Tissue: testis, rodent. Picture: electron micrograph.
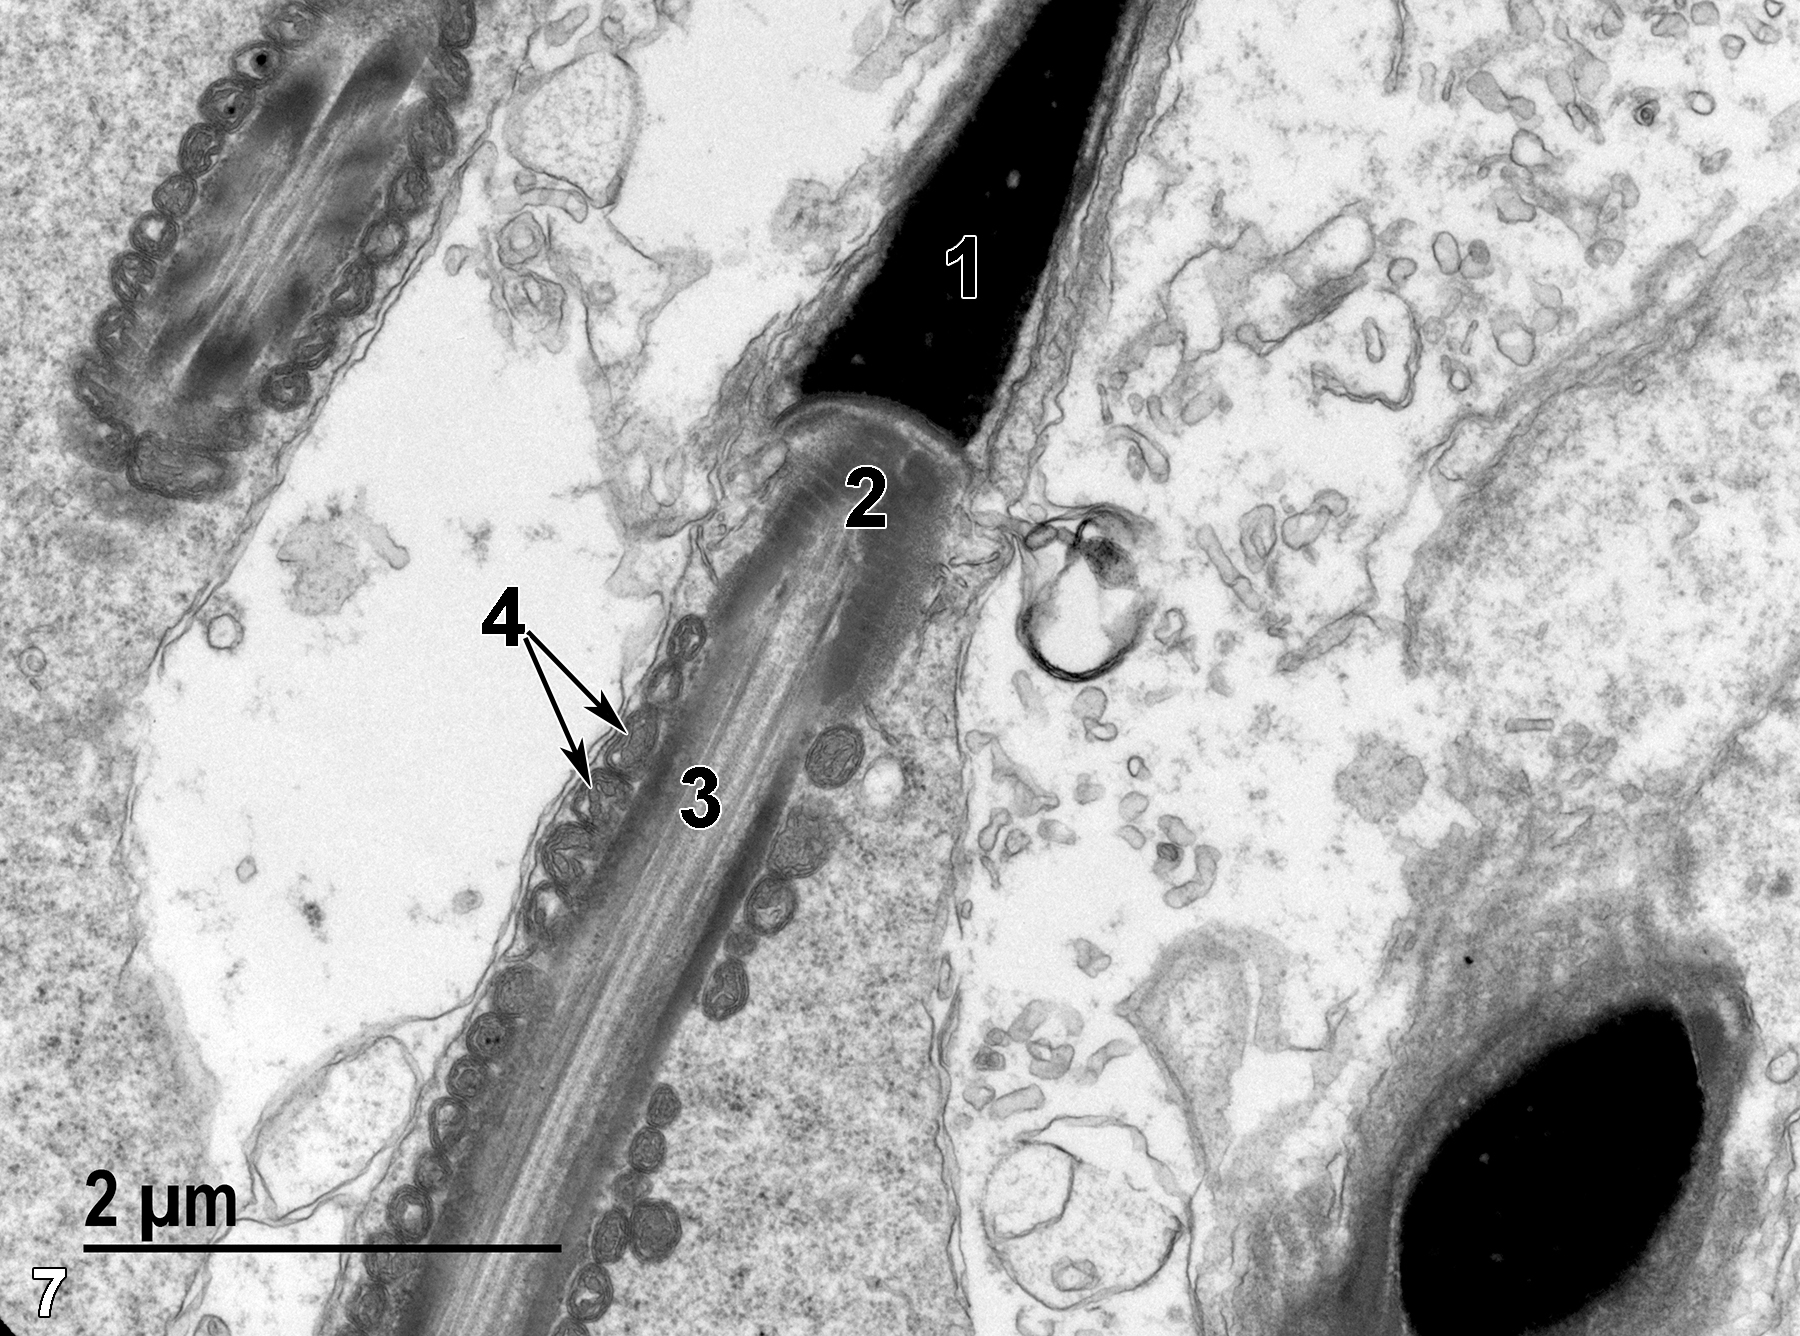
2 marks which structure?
neck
